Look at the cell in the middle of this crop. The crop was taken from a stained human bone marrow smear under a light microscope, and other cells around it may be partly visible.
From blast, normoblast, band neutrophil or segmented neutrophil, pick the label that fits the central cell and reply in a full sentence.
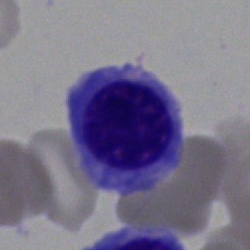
The central cell, amid any neighbouring cells, is a normoblast.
